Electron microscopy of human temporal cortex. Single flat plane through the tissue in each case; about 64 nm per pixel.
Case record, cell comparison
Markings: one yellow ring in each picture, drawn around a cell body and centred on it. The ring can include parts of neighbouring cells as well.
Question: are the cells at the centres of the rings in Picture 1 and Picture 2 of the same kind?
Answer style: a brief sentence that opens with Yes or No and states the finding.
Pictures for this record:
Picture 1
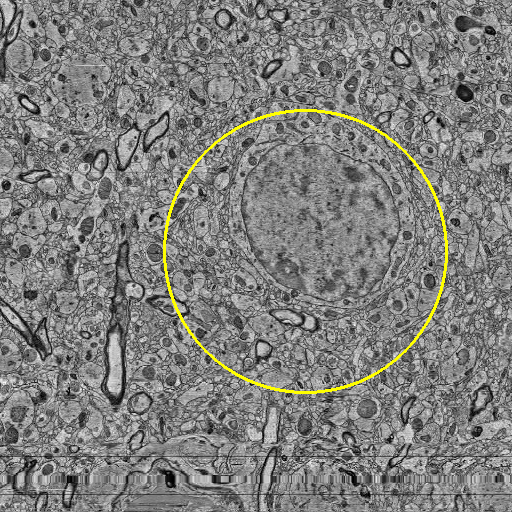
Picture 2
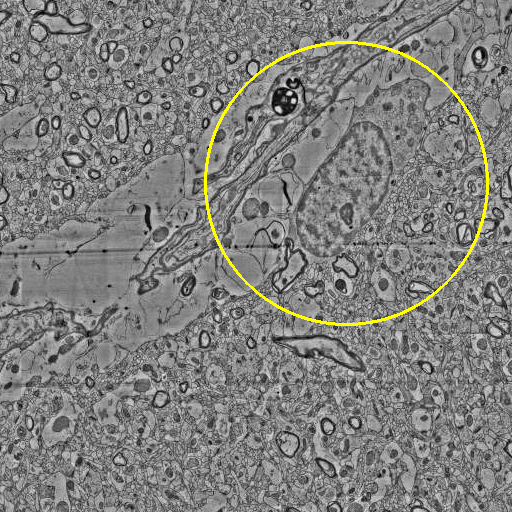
No, the cells in Picture 1 and Picture 2 are of two kinds.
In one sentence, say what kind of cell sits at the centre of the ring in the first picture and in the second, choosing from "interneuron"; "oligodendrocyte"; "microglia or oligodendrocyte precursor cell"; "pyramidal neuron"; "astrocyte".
The first picture's ringed cell is an interneuron, while the second picture's is an oligodendrocyte.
